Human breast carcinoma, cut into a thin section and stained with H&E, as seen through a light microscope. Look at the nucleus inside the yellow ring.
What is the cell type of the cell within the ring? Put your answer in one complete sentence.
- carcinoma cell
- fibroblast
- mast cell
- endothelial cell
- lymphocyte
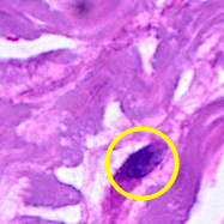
In this field of tissue, the cell within the ring is a fibroblast.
